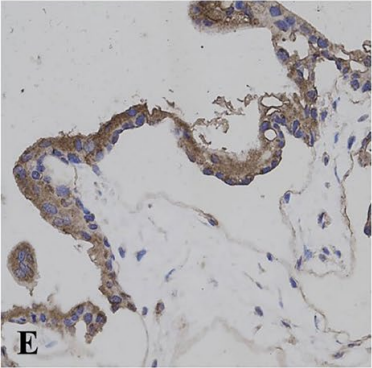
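The outer lining of the villi is a band of cells with blue oval nuclei and brown-stained cytoplasm, following the curved surface of the villus. The stroma inside is pale and loose, with few scattered nuclei and little brown colour. The stained covering layer is the syncytiotrophoblast of the chorionic villus.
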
